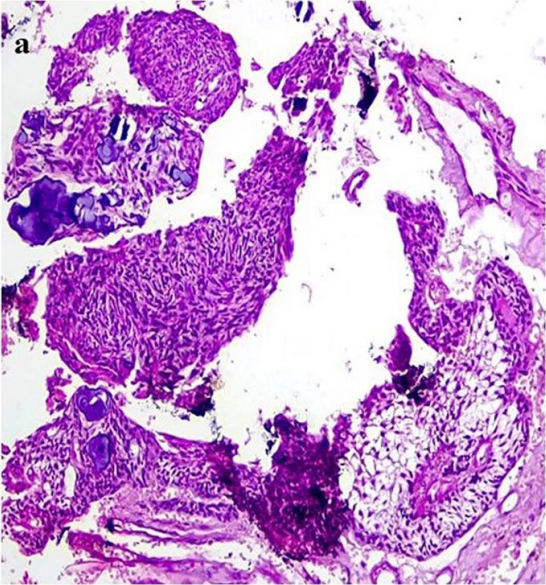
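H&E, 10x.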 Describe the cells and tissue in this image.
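This lower-power field shows fragments of epithelium with scattered calcifications. Much of the tissue is made of dense nests and sheets of small cells with elongated to oval purple nuclei, packed closely together and in places streaming in whorls. Within and beside these nests lie dark purple, glassy deposits: some are rounded with a layered look, others are irregular, cracked or broken into pieces, and a few appear nearly black. One area shows pale, bubbly cells with clear cytoplasm. The fragments are separated by empty spaces, and thin strands of pink fibrous tissue run at the edges.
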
